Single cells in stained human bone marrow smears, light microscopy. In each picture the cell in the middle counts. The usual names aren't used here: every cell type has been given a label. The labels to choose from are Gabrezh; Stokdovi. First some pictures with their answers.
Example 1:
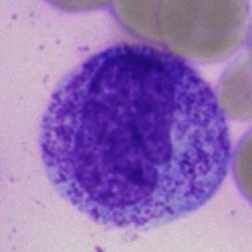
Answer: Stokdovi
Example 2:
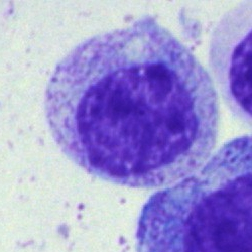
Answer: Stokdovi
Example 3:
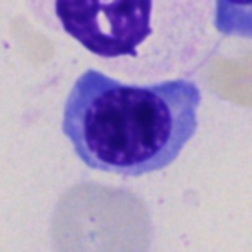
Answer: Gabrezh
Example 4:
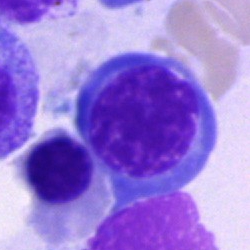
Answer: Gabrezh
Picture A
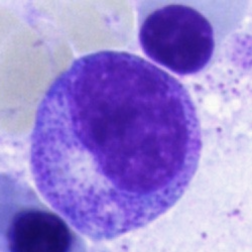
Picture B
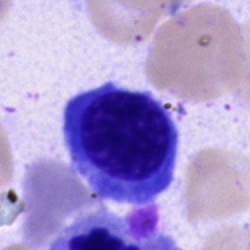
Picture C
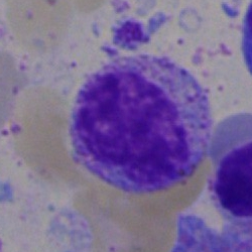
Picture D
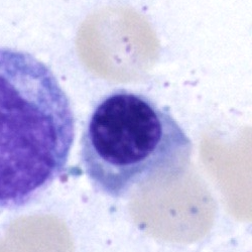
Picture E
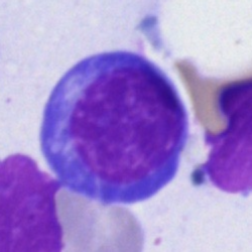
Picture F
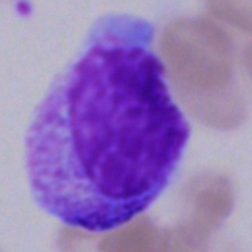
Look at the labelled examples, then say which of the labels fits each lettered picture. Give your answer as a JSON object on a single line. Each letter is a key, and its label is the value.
{"A": "Stokdovi", "B": "Gabrezh", "C": "Stokdovi", "D": "Gabrezh", "E": "Gabrezh", "F": "Stokdovi"}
